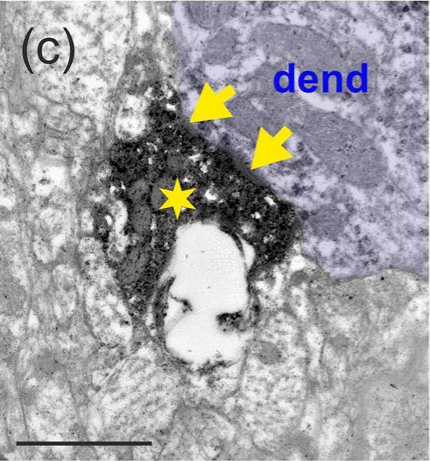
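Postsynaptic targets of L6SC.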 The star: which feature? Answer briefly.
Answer: Boutons.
